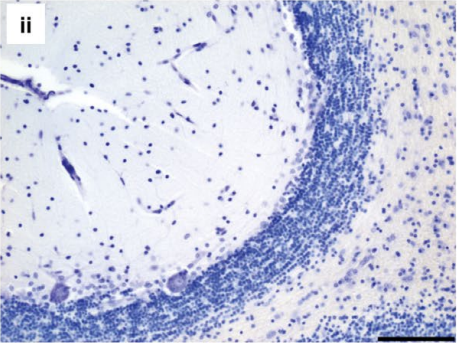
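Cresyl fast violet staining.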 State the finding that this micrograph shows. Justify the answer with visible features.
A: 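Only two large cell bodies sit along the long border of the dense granular layer. Long stretches of the border between the pale and dense layers have no large cell bodies. On this evidence: Purkinje cell dropout.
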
